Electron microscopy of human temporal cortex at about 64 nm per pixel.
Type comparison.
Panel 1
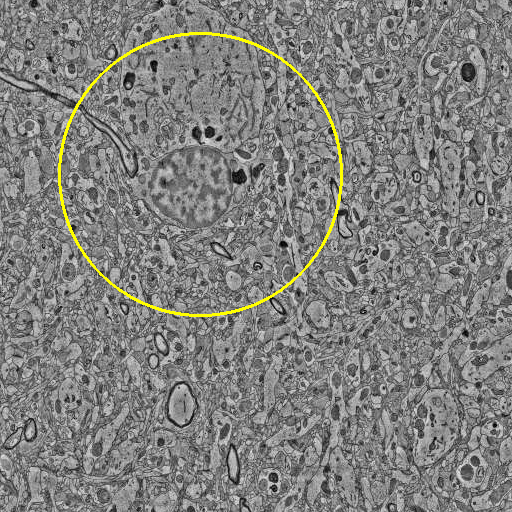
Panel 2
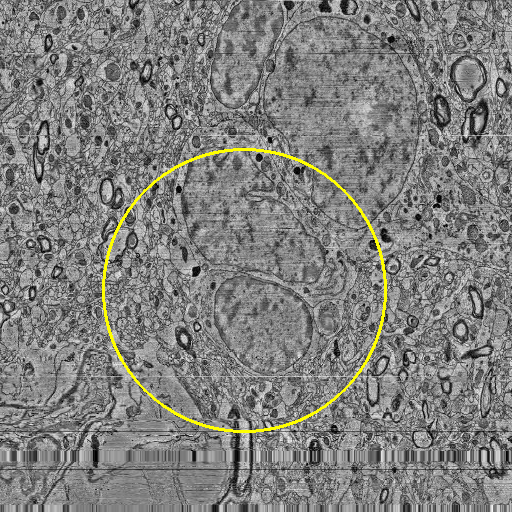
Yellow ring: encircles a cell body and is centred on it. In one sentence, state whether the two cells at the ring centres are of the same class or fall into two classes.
In these panels, the two cells at the ring centres are of the same class.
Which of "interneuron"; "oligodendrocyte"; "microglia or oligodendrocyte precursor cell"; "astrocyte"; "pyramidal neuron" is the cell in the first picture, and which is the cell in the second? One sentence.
Each of the two pictures has an oligodendrocyte at the ring centre.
